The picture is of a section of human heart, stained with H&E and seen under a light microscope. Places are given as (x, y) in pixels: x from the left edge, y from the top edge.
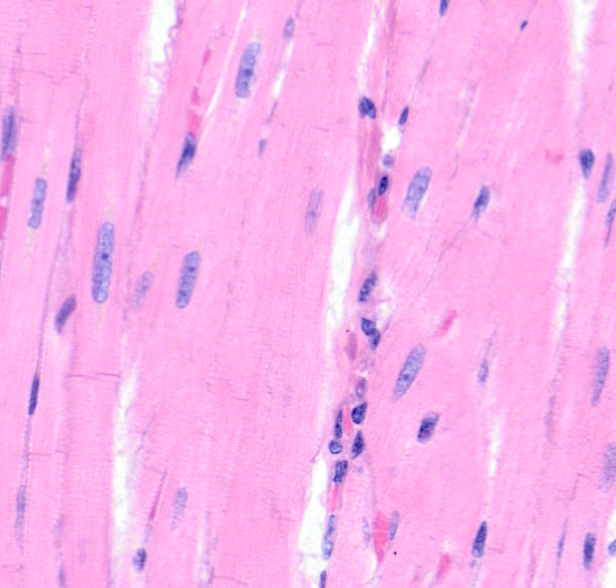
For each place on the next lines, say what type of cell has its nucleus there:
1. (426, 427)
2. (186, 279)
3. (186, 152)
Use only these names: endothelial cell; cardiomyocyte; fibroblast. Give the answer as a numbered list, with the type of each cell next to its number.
1. endothelial cell
2. cardiomyocyte
3. endothelial cell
